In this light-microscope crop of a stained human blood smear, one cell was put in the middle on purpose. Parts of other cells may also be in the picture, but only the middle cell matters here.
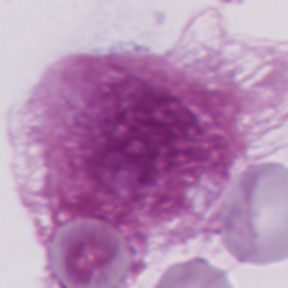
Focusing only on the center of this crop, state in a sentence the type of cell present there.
The cell featured at the centre of this crop is a smudge cell.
